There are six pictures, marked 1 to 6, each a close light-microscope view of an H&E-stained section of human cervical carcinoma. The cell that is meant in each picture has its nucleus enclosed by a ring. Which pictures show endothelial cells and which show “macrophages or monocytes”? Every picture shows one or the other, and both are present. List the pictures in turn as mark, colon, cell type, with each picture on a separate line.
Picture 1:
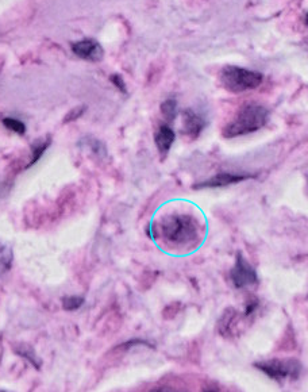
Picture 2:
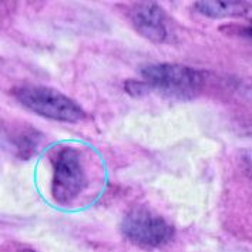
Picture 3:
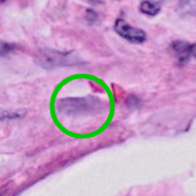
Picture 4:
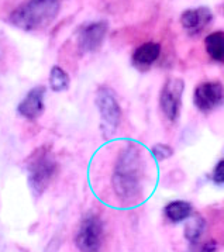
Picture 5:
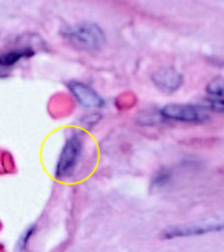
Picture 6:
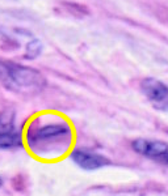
1: macrophage or monocyte
2: macrophage or monocyte
3: endothelial cell
4: endothelial cell
5: endothelial cell
6: endothelial cell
